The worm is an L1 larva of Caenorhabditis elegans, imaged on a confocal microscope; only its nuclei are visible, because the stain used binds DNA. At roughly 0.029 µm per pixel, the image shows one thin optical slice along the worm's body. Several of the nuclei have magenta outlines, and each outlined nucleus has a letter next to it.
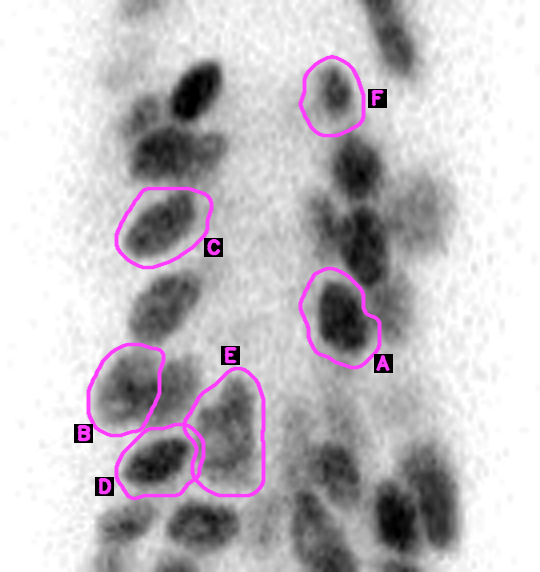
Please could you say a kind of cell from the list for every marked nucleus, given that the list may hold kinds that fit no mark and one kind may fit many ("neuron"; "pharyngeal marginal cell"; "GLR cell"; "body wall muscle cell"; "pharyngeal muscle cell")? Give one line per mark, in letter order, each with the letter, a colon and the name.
A: neuron
B: body wall muscle cell
C: neuron
D: neuron
E: pharyngeal marginal cell
F: GLR cell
